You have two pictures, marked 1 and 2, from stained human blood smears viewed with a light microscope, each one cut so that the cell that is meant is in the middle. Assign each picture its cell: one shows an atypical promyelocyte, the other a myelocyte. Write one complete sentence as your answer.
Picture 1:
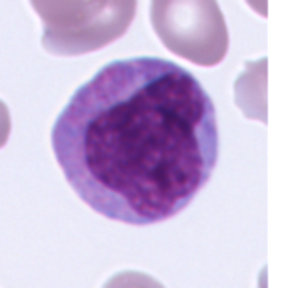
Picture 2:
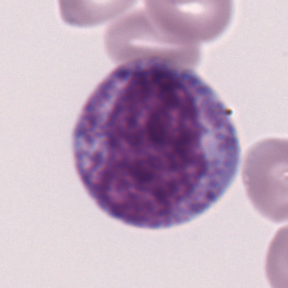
Picture 1 shows an atypical promyelocyte and picture 2 shows a myelocyte.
